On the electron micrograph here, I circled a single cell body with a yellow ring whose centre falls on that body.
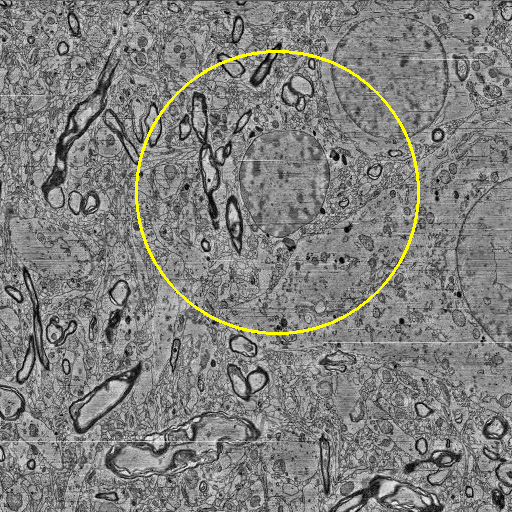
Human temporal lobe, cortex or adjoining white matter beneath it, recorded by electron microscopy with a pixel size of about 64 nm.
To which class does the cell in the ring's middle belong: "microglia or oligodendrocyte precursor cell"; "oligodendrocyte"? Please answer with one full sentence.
In this picture, the cell body circled at the ring's centre belongs to a microglial cell or oligodendrocyte precursor cell.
